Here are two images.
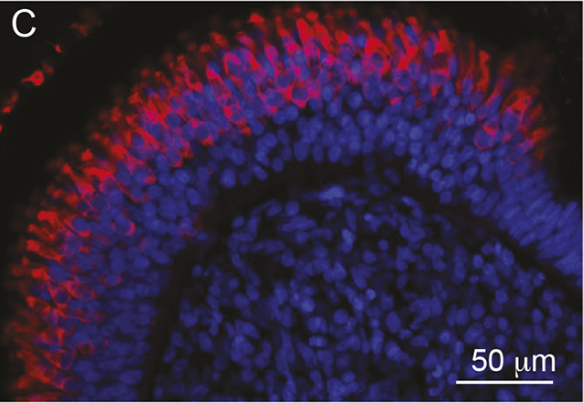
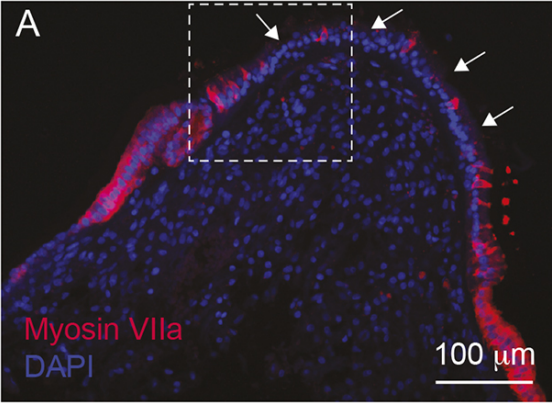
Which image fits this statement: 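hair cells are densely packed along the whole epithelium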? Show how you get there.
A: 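The first image. First image: red cells line the entire curved epithelial surface closely side by side. Second image: red cells are sparse, with long stretches of epithelium lacking any red cells.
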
